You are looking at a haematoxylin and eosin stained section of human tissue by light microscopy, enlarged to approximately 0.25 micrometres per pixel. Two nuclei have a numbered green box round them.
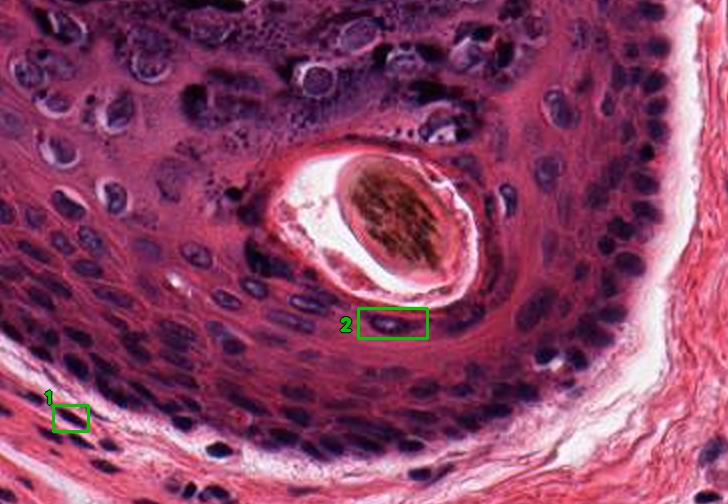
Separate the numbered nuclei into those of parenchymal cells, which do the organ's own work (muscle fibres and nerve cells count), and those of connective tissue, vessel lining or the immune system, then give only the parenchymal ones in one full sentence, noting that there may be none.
Of the marked nuclei, it is only nucleus 2 whose cell is parenchymal.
